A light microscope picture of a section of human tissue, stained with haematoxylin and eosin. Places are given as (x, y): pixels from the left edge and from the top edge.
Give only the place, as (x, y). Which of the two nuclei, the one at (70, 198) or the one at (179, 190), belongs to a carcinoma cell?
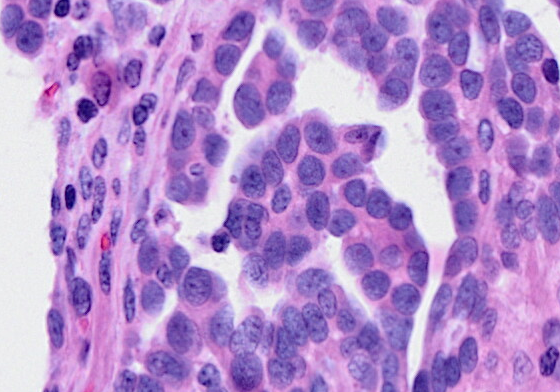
(179, 190)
